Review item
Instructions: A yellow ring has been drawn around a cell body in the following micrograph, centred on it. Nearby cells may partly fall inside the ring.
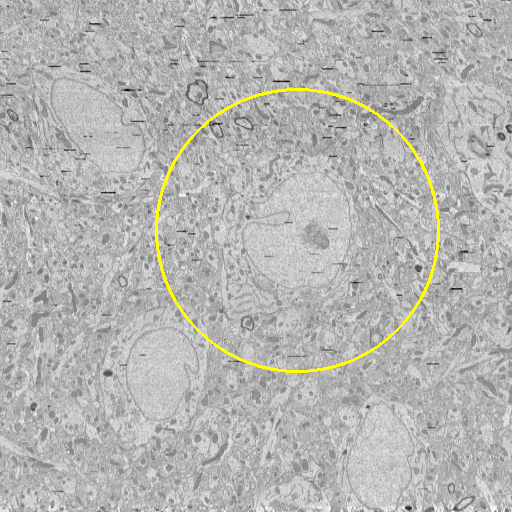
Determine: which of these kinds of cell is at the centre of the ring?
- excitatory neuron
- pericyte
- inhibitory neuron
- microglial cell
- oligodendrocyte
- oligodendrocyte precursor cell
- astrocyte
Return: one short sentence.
The cell body in the middle of the ring is that of an inhibitory neuron.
